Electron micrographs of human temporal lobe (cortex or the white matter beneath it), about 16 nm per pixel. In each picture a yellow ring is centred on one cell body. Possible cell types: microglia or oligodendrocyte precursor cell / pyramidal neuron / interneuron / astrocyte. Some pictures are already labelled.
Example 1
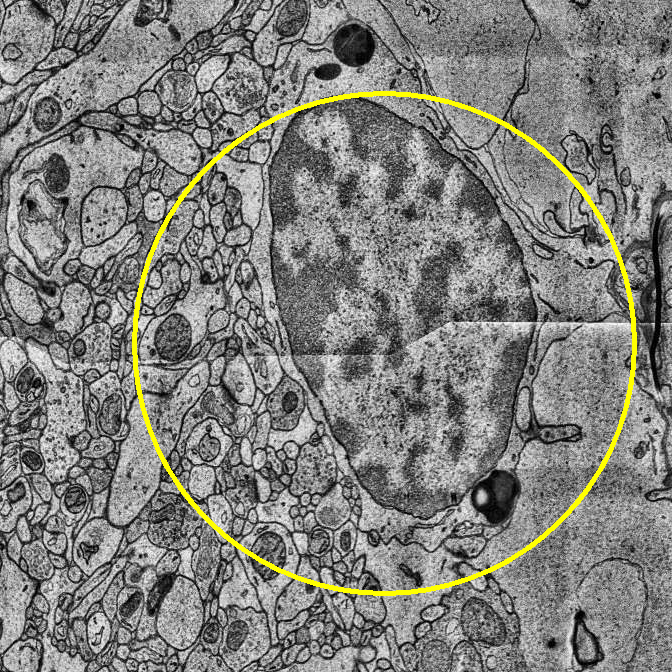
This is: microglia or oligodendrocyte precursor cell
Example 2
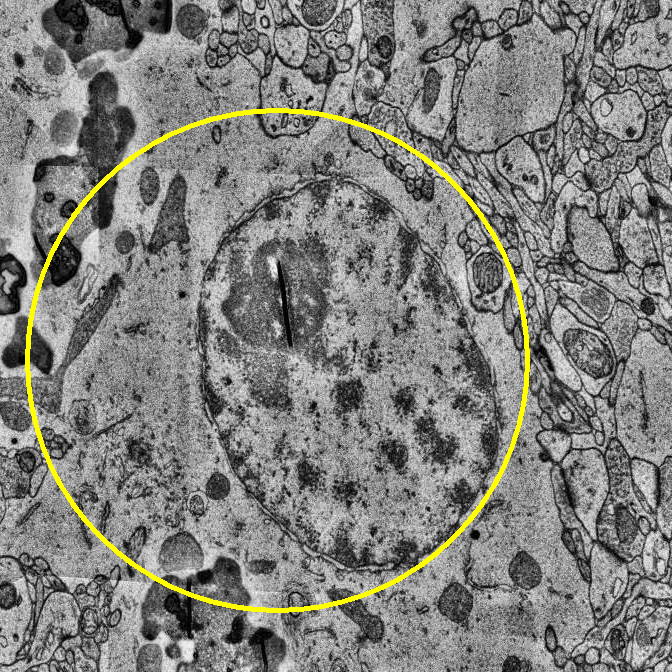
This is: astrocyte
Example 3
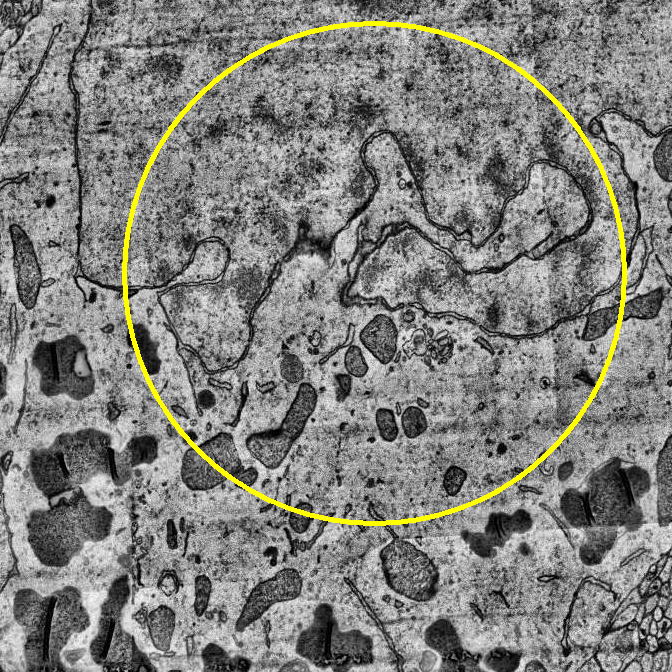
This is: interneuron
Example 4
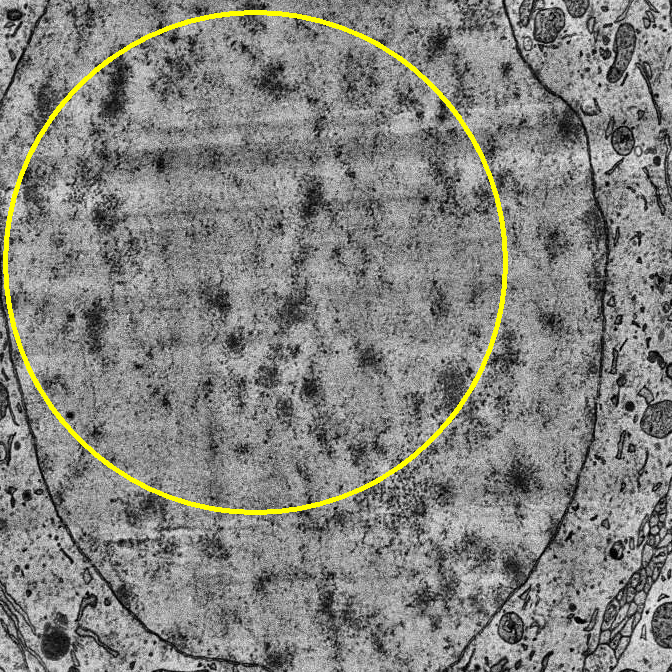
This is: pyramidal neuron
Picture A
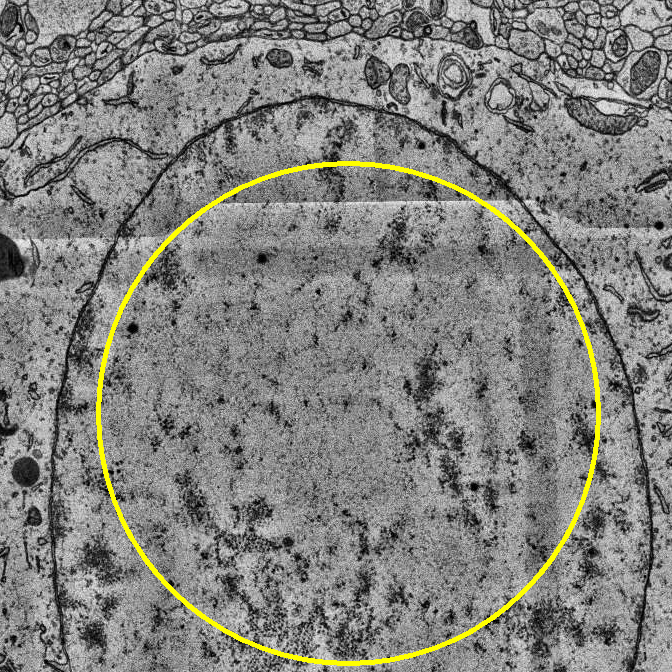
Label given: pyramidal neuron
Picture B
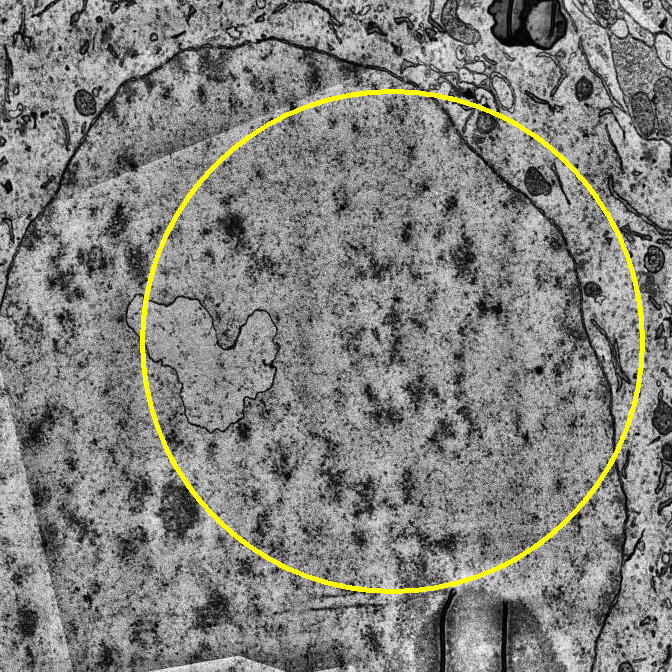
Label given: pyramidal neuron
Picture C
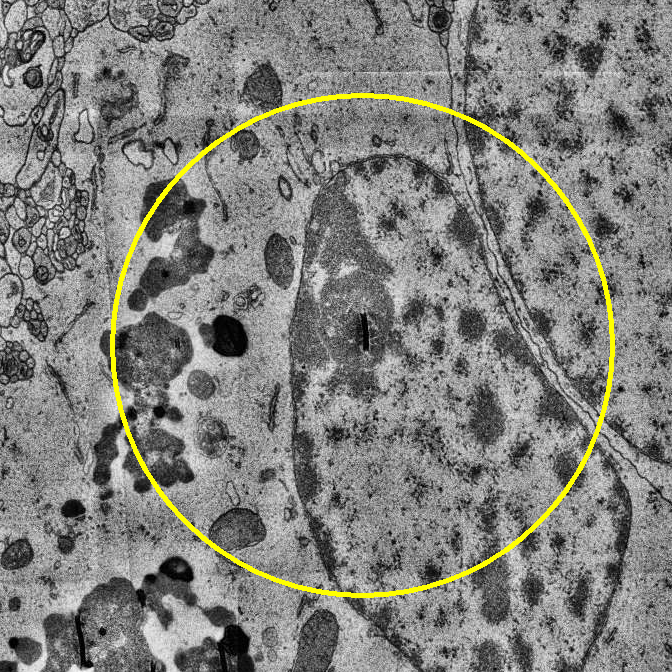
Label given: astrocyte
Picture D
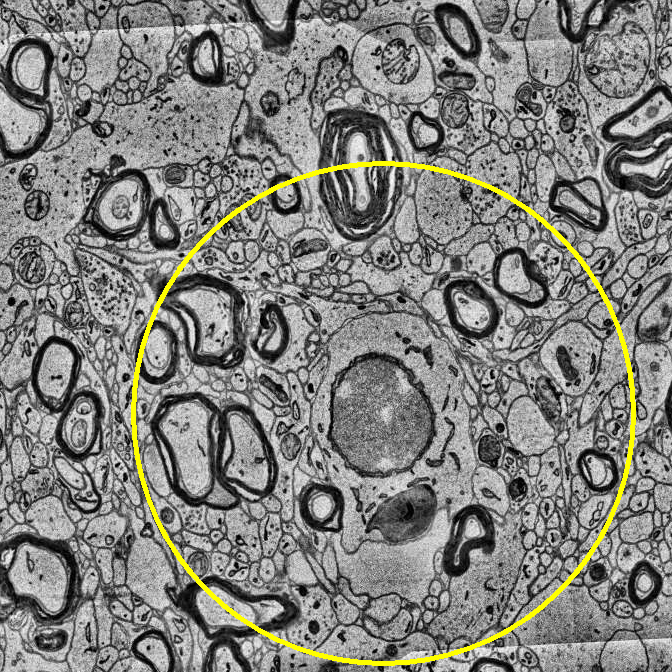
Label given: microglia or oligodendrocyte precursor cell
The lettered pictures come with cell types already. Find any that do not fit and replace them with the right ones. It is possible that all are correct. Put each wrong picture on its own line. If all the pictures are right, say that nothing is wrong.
All labels are correct.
